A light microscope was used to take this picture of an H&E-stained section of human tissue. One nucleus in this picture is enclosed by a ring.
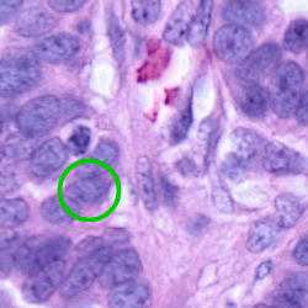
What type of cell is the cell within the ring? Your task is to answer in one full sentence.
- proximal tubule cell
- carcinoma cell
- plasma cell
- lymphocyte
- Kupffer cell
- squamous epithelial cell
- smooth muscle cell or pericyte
So far as cell type goes, the cell within the ring is a carcinoma cell.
